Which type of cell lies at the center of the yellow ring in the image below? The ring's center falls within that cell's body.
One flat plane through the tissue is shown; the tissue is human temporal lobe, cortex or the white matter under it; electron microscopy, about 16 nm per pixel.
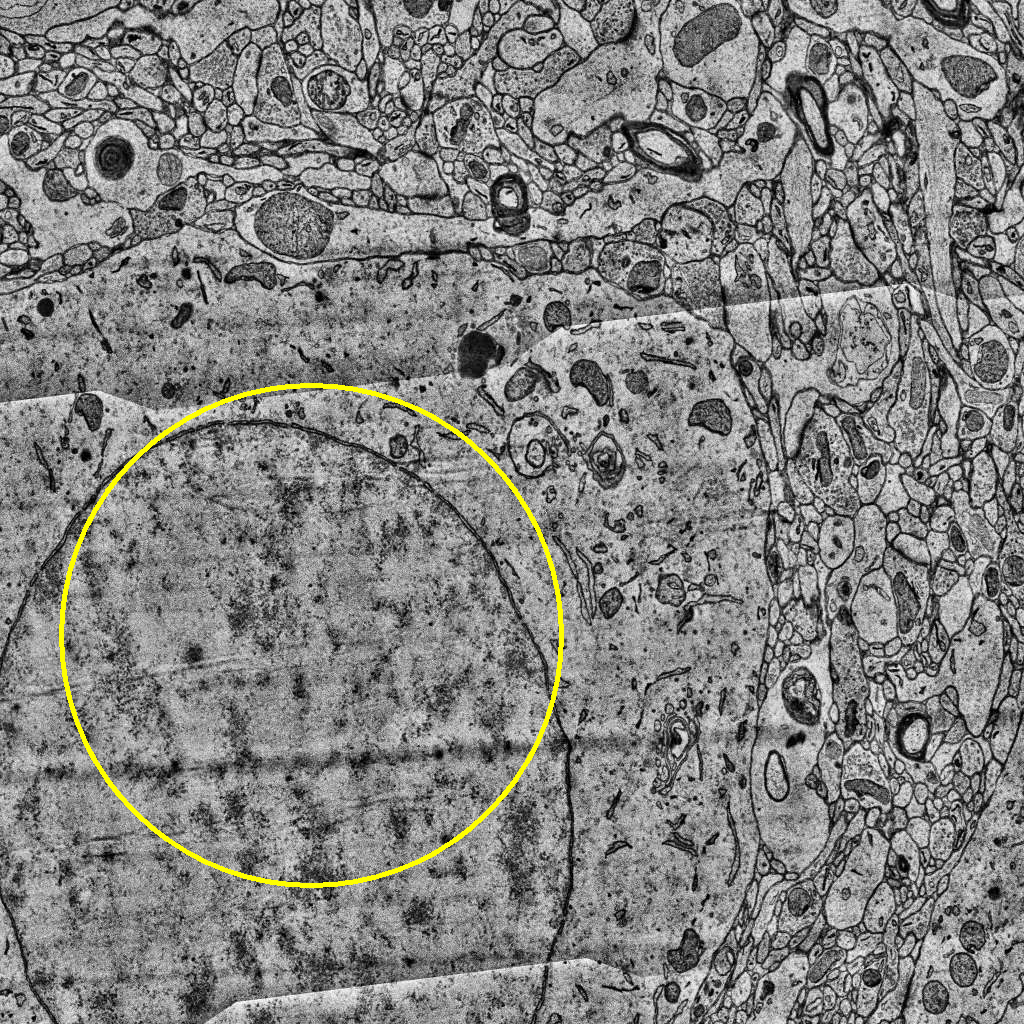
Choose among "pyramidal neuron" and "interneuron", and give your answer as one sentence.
The cell body at the center belongs to a pyramidal neuron.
